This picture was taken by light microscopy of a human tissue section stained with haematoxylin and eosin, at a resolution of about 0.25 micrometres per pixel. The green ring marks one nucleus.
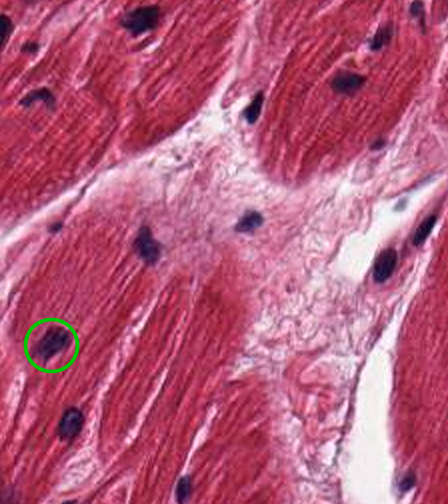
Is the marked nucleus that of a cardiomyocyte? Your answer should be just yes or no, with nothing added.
yes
